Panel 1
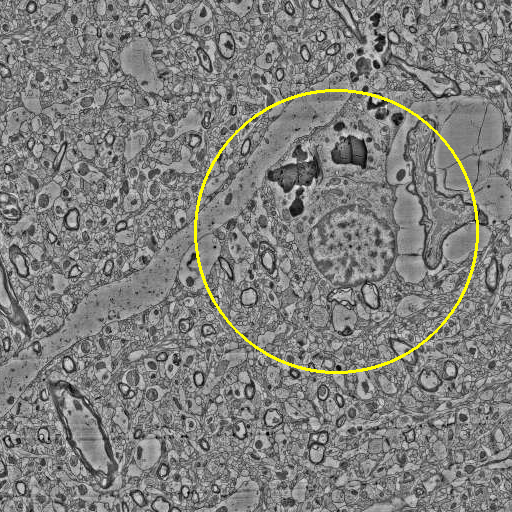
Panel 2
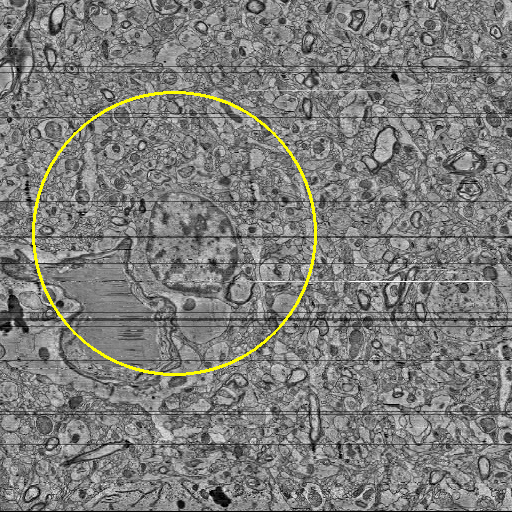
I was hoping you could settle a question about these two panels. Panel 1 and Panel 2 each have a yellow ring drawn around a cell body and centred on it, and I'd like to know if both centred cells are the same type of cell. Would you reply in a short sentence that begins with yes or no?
Yes, both are the same type of cell.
